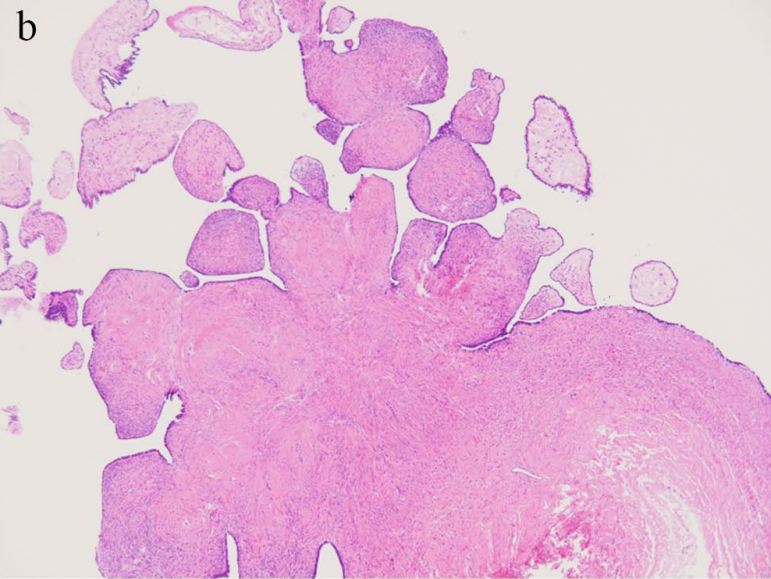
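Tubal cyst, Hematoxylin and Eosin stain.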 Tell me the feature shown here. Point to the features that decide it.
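Papillary projections. Many rounded and club-shaped fronds project from a solid pink base into an open space. Some fronds lie detached in the space. Each frond has a pink fibrous core with a thin rim of cells at its surface.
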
